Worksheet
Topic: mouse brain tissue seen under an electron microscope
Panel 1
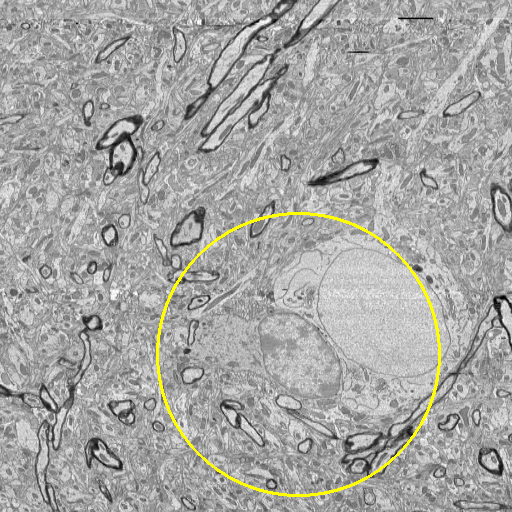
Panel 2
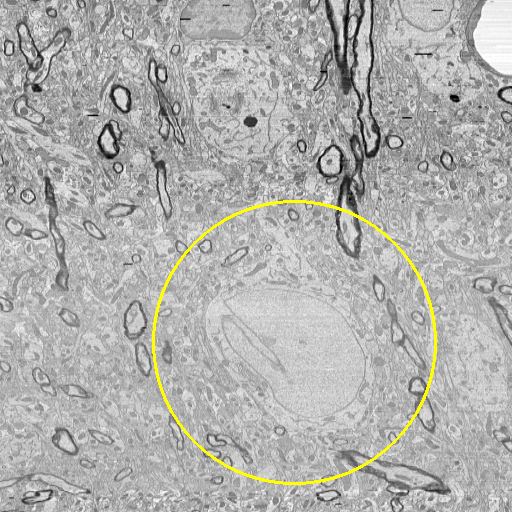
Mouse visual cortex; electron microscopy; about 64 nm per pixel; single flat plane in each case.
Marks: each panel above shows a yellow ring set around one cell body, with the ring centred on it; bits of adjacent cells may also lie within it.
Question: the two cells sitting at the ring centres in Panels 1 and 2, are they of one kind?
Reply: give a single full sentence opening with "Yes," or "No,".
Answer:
No, the two ring-centre cells in Panel 1 and Panel 2 are of two kinds.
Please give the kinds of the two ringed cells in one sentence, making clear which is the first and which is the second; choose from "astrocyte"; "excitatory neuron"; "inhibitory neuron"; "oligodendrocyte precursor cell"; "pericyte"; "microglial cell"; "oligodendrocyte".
In the second picture the ringed cell is an excitatory neuron; in the first it is an oligodendrocyte.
